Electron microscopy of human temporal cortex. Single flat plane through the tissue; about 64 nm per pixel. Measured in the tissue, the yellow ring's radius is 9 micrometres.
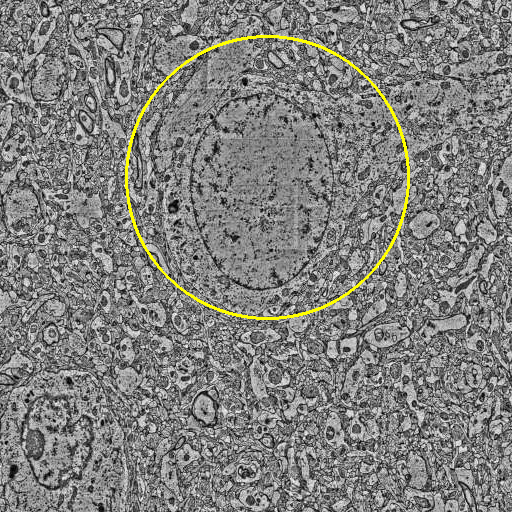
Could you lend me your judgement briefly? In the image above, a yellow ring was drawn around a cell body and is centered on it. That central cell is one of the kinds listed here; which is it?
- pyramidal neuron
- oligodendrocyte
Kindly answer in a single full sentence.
Going by the list, a pyramidal neuron is the kind at the ring's center in the picture.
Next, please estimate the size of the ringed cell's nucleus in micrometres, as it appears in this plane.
In this plane the nucleus measures roughly 13 by 9 micrometers.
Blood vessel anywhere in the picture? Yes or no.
No, there is no blood vessel in the image.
